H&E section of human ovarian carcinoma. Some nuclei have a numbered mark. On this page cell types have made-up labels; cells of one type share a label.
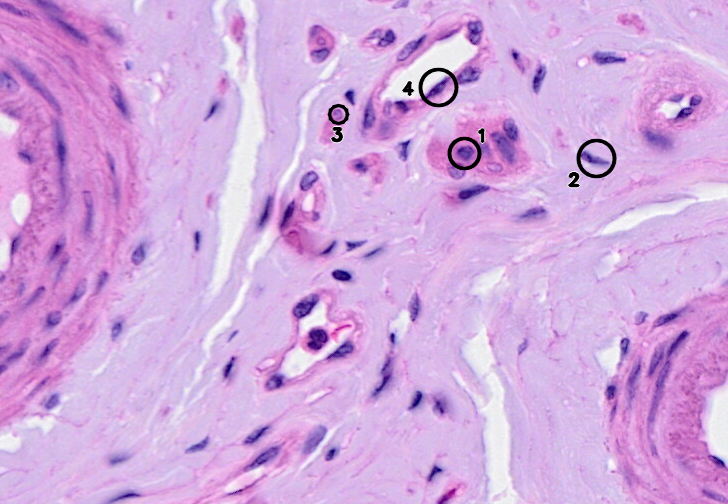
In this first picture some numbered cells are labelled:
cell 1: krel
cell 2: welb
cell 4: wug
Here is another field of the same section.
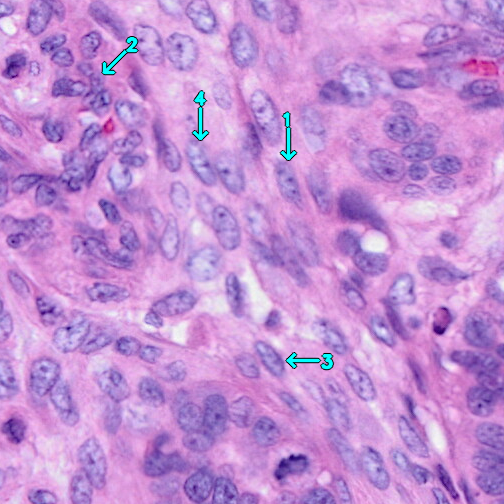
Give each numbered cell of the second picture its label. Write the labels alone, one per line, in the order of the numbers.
welb
wug
welb
welb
